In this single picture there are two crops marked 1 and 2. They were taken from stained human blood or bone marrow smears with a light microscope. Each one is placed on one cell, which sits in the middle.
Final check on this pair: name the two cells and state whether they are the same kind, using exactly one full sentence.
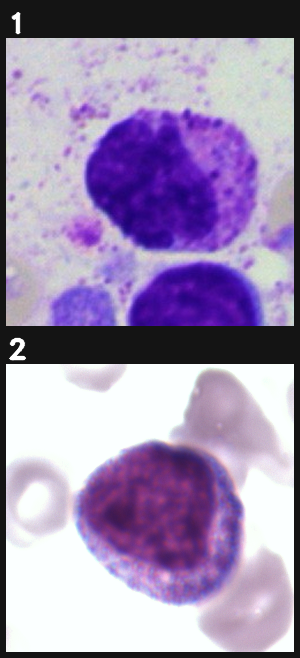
No, crop 1 and crop 2 show a basophil and a promyelocyte respectively.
